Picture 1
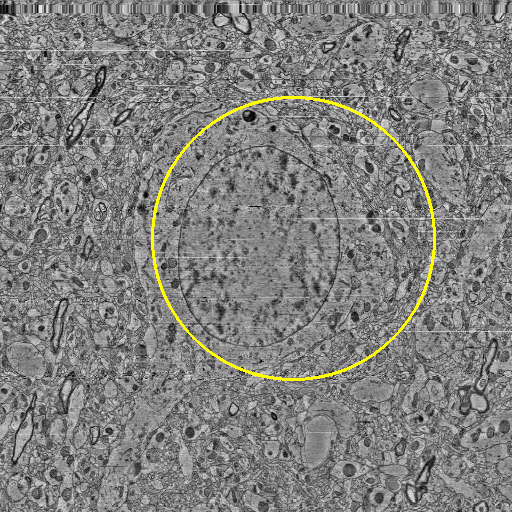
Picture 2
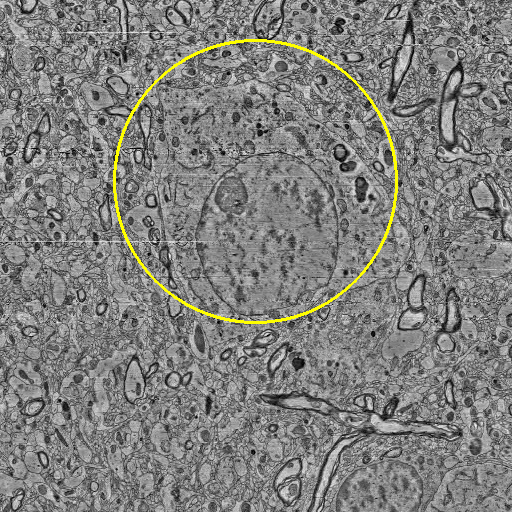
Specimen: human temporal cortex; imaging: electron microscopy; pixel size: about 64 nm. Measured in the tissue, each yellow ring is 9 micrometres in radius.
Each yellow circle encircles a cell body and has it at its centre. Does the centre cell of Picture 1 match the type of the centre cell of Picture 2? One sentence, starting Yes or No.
Yes, the cell centred in Picture 1 and the one in Picture 2 share a type.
